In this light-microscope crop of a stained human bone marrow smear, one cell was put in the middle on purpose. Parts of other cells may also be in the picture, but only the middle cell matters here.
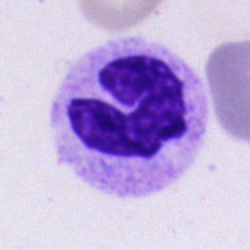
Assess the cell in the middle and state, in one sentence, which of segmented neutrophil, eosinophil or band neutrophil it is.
The cell at the middle of the frame should be recorded as a band neutrophil.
